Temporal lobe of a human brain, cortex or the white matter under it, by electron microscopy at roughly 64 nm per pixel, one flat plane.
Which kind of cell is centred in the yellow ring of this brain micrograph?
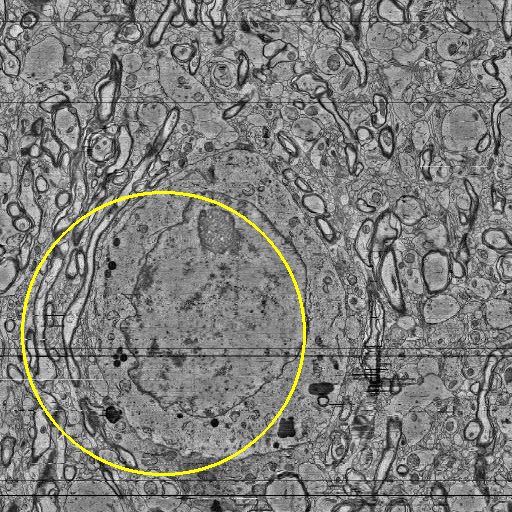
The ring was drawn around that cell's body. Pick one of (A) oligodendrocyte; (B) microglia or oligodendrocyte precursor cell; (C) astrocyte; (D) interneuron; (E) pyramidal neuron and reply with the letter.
E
